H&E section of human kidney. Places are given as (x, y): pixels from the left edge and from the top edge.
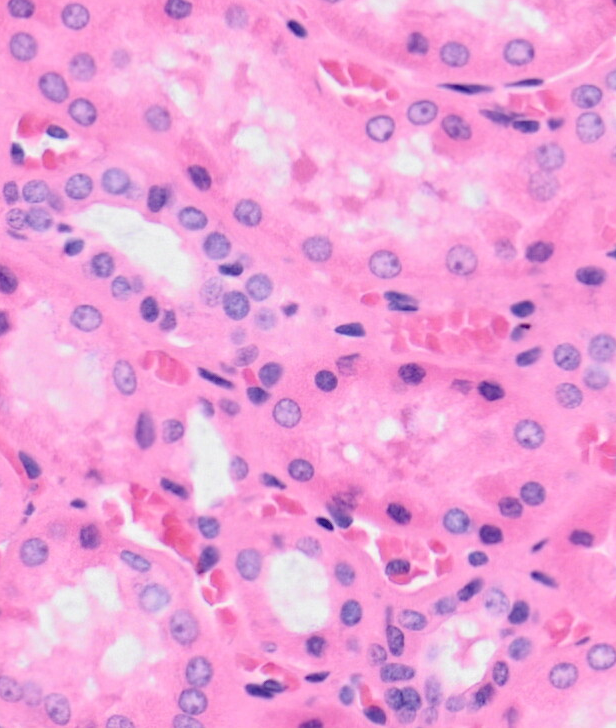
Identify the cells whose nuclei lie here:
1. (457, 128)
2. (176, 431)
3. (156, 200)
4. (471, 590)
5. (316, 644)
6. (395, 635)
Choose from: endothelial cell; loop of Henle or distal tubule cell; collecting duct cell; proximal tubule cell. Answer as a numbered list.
1. proximal tubule cell
2. loop of Henle or distal tubule cell
3. collecting duct cell
4. collecting duct cell
5. loop of Henle or distal tubule cell
6. collecting duct cell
